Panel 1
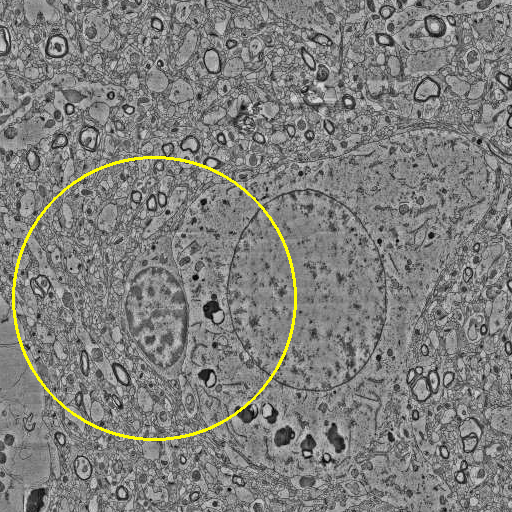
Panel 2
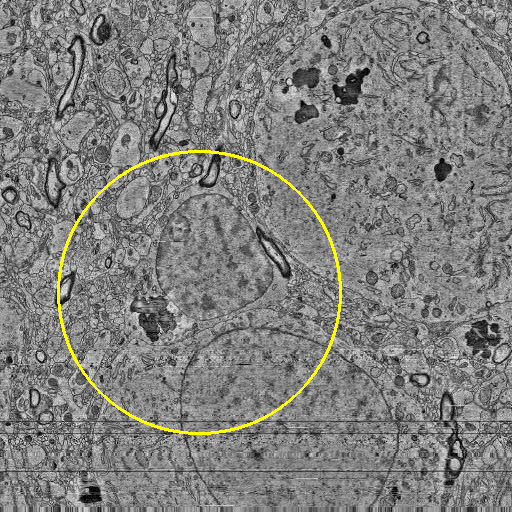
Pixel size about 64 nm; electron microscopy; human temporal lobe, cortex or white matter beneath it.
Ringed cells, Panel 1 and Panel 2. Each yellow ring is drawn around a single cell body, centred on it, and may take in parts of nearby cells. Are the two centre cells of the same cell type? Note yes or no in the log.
yes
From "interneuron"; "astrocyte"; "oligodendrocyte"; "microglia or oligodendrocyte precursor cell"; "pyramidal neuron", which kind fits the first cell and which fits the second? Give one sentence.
Both the first and the second picture show an oligodendrocyte in the ring.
